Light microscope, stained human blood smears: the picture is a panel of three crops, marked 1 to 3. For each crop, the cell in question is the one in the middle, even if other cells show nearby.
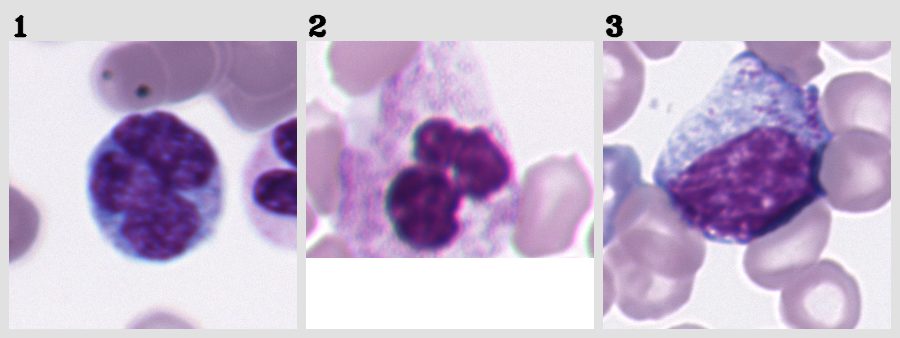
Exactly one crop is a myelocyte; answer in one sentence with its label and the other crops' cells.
In the crop designated 3, the cell is a myelocyte, while crop 1 is a monocyte and crop 2 is a segmented neutrophil.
